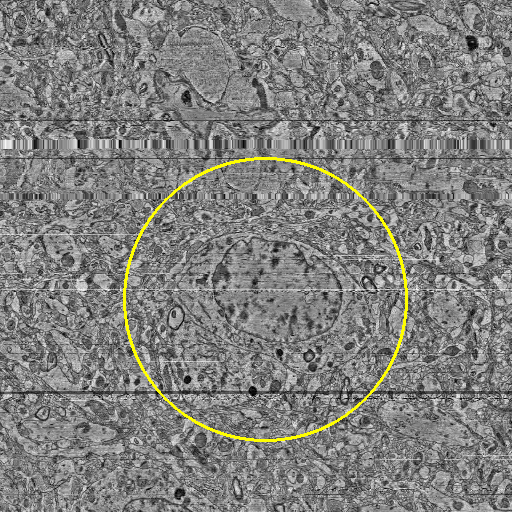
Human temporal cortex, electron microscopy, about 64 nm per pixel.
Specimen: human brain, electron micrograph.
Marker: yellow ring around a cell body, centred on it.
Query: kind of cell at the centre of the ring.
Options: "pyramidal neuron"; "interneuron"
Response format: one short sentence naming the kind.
This cell body belongs to a pyramidal neuron.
